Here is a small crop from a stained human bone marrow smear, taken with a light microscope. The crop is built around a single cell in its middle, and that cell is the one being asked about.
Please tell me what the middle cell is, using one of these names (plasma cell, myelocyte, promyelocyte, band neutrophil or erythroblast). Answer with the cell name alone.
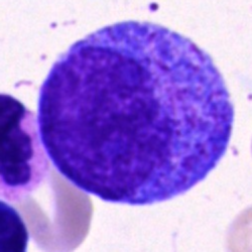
promyelocyte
